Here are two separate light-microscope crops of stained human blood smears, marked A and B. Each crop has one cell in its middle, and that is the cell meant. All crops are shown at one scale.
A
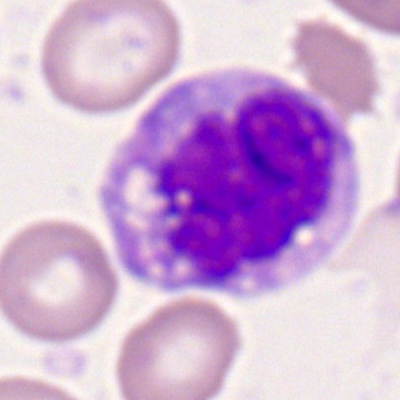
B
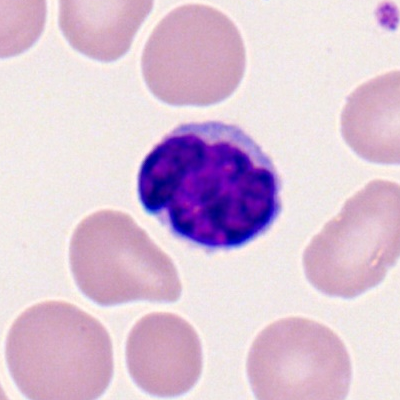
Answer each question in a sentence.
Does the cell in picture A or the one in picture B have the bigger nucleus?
The nucleus in picture A is larger, with about 1.5 times the area of the one in picture B.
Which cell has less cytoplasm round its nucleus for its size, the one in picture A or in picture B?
It is the cell in picture B that is filled more by its nucleus.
